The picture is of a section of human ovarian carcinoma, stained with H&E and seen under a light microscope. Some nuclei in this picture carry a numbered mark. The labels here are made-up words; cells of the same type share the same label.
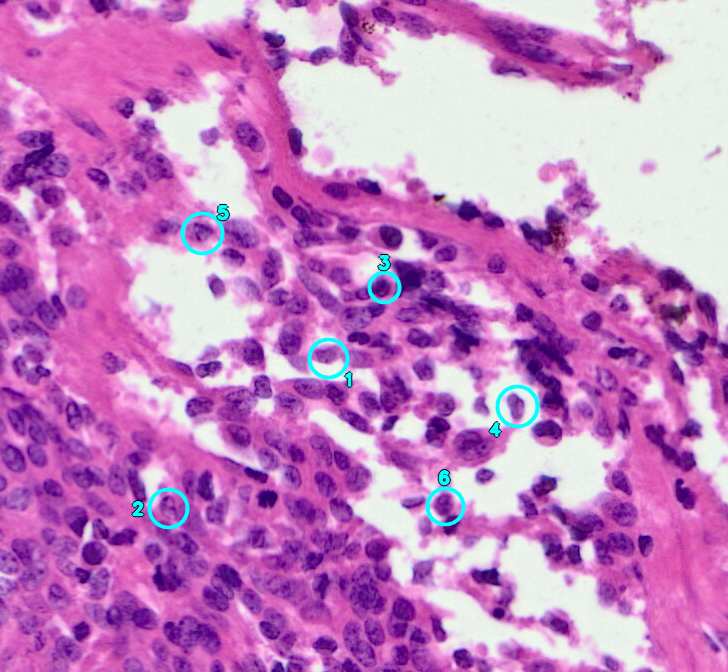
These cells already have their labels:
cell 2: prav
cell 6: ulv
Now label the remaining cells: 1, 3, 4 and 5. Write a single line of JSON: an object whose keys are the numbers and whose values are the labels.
{"1": "ulv", "3": "ulv", "4": "ulv", "5": "prav"}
